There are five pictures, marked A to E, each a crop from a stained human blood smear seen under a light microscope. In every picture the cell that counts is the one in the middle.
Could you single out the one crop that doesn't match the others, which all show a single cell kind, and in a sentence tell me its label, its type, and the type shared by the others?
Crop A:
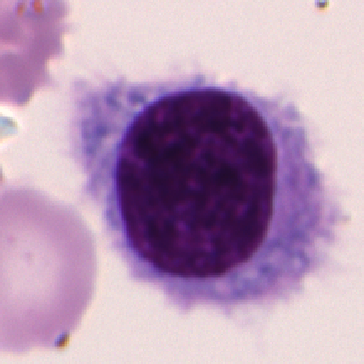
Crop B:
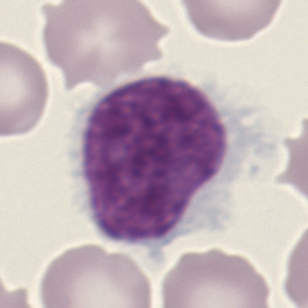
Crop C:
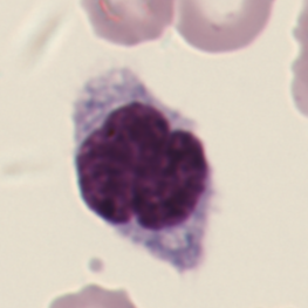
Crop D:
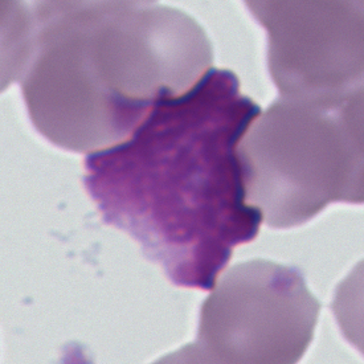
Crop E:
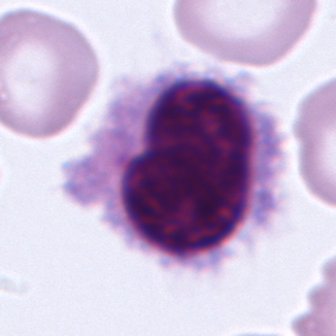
Crop D shows a smudge cell; by contrast, all the other crops show hairy cells.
